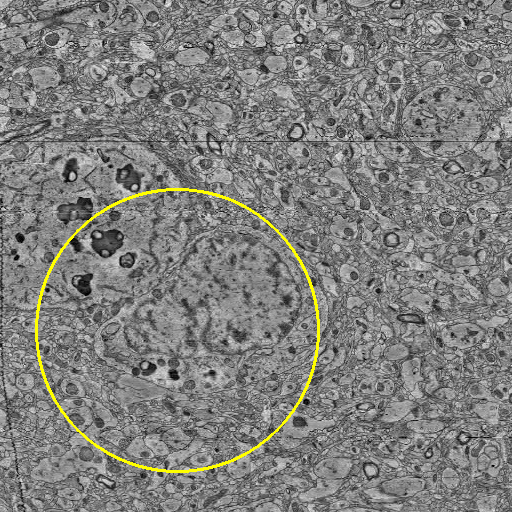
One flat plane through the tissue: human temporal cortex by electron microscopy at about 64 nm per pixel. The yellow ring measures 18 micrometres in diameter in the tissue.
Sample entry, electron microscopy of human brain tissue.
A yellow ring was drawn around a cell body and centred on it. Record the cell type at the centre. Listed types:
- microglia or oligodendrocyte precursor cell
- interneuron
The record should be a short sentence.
The cell at the ring's centre is an interneuron.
